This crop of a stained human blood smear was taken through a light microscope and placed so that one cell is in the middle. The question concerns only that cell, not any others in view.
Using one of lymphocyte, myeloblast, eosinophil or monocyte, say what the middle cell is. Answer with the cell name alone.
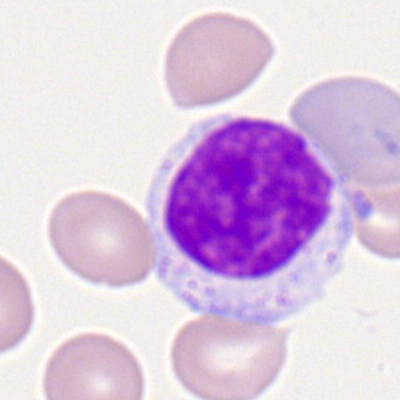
lymphocyte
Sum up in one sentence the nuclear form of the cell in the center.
The cell carries one compact nucleus shaped round, oval or like a kidney.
